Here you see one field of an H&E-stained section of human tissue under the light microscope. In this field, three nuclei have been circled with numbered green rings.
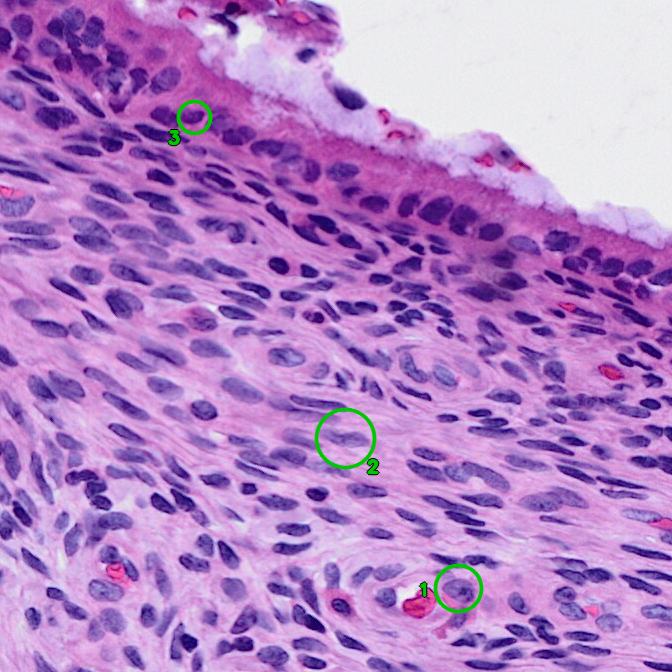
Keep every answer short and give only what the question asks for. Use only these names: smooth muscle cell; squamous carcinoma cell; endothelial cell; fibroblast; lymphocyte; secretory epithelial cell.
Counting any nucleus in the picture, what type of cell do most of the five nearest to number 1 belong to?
fibroblast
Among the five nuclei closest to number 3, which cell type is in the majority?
secretory epithelial cell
